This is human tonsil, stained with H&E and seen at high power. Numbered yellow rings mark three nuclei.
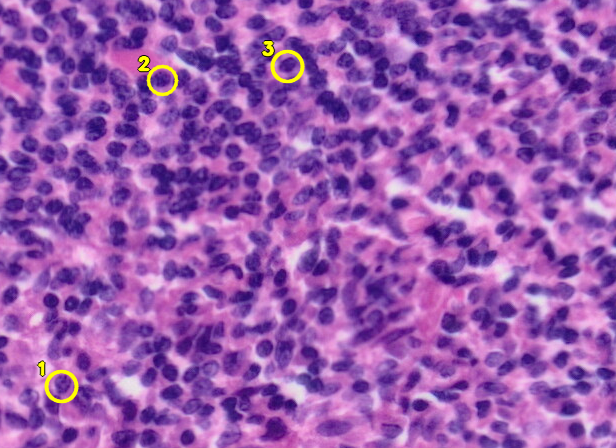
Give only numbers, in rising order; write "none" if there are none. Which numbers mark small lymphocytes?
2, 3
